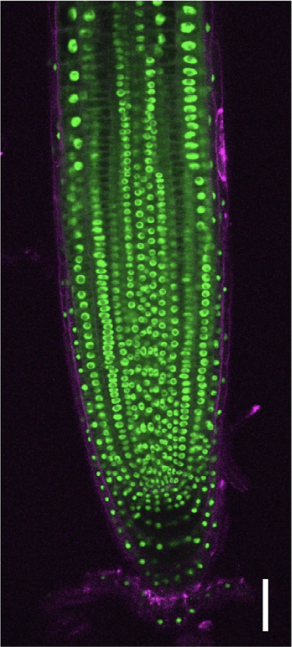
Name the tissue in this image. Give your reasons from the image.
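A tapering organ tip with a cap of cells at its lower end. Cells arranged in long parallel files converging toward the tip. Small densely packed cells each with a green nucleus.
Root apical meristem.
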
